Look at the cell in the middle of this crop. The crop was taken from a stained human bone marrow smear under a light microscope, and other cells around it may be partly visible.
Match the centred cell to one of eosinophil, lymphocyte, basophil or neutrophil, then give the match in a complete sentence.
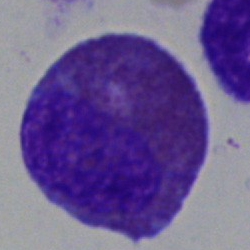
The cell positioned in the middle of the field is an eosinophil.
